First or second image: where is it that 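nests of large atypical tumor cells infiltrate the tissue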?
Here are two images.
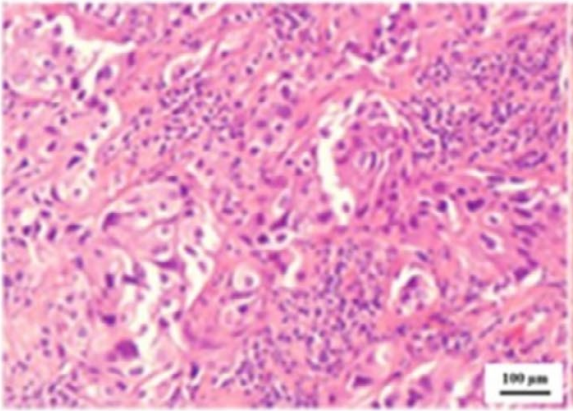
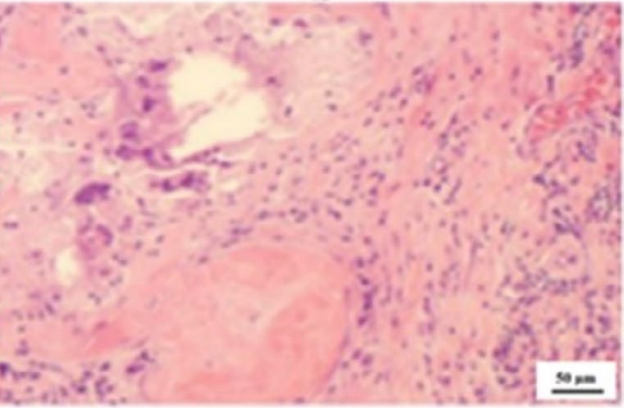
The first image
